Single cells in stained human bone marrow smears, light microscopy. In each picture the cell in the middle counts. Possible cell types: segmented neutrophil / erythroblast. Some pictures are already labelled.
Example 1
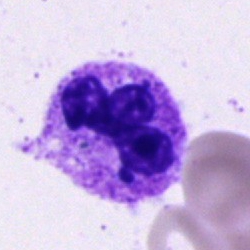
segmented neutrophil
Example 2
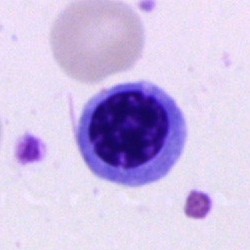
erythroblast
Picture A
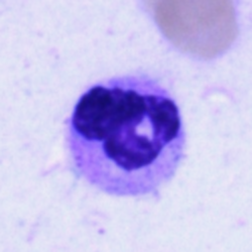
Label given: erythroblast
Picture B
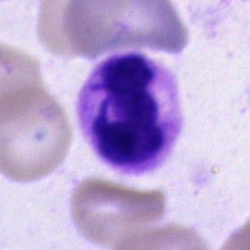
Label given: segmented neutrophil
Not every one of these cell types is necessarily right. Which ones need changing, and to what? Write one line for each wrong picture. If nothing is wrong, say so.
A: segmented neutrophil, not erythroblast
